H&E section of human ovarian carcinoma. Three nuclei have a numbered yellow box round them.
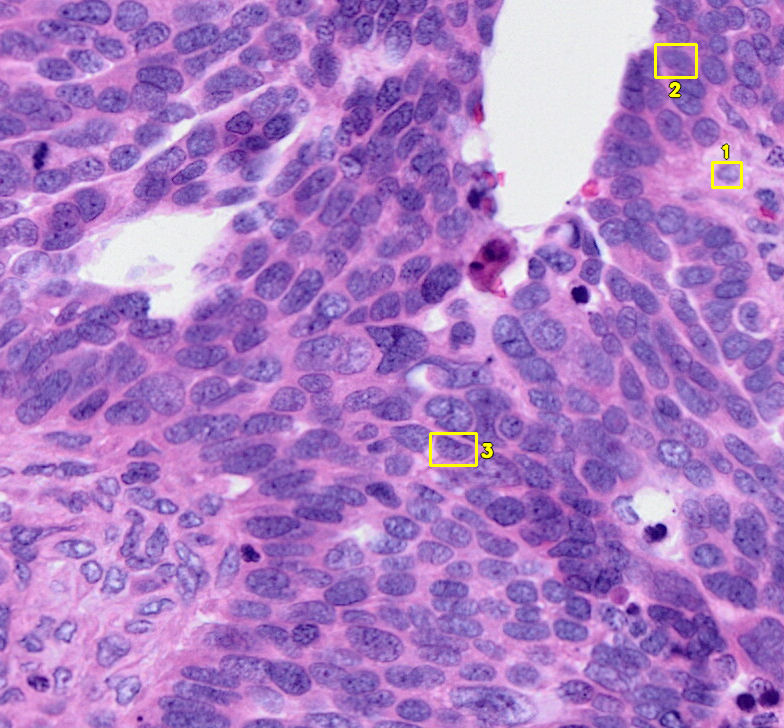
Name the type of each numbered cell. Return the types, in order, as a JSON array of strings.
["fibroblast", "carcinoma cell", "carcinoma cell"]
